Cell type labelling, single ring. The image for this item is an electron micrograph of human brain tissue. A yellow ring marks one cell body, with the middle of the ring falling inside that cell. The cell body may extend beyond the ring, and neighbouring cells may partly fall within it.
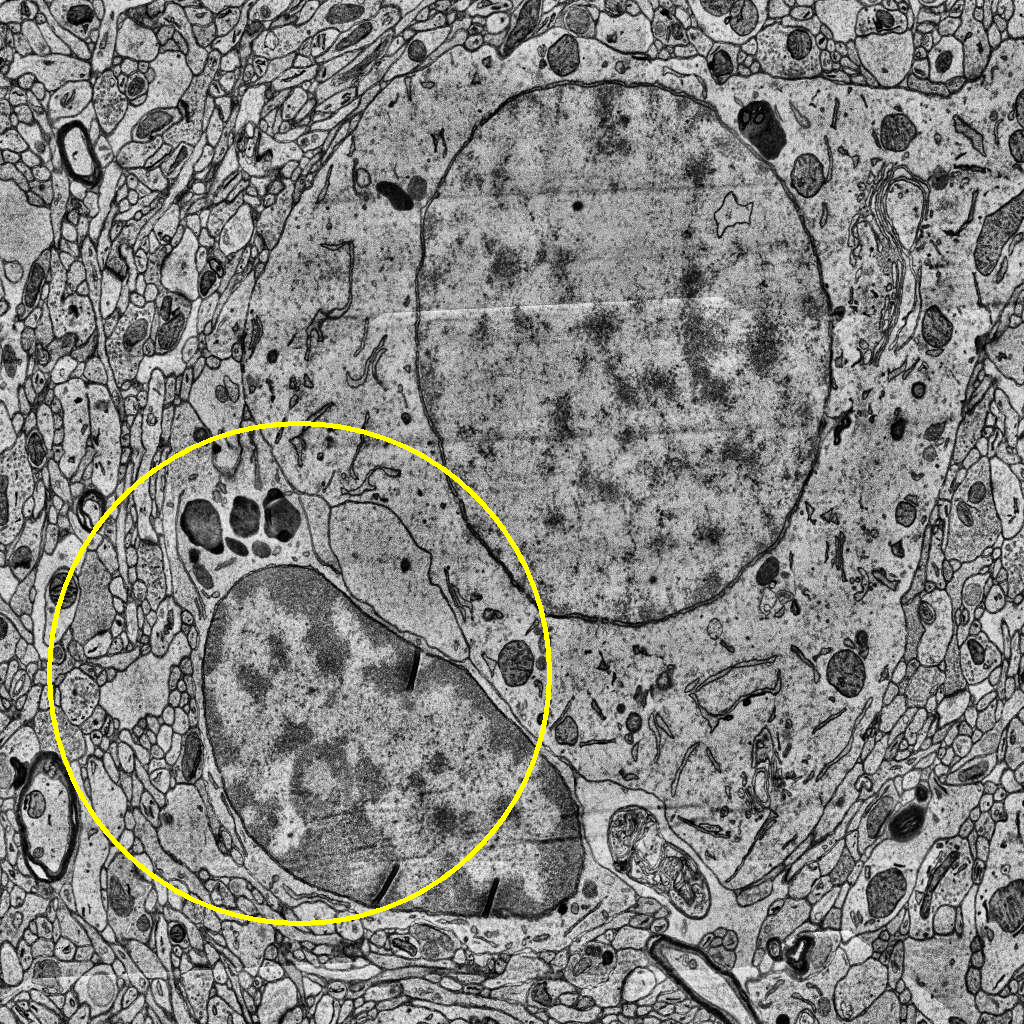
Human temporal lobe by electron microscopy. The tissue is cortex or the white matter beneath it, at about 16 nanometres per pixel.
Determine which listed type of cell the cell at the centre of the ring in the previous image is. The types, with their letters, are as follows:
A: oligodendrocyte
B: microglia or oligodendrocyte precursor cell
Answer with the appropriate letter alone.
B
